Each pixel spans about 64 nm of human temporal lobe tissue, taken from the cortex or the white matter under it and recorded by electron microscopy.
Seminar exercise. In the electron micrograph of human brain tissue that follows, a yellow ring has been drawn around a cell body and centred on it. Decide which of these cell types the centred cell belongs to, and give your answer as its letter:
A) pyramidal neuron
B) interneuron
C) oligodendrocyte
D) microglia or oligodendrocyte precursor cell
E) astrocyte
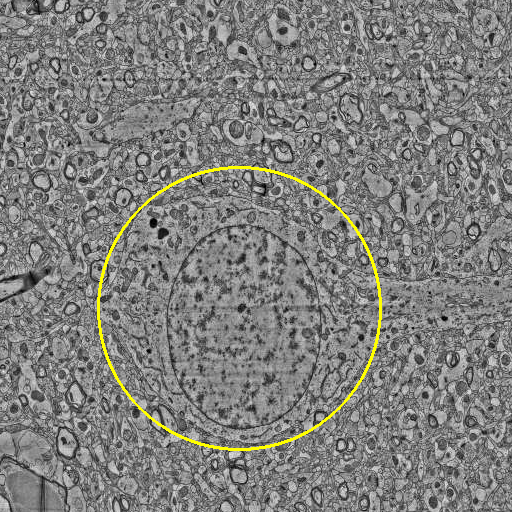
A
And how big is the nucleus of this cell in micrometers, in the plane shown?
Roughly 13 by 10 micrometres in this plane, for the nucleus of the ringed cell.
